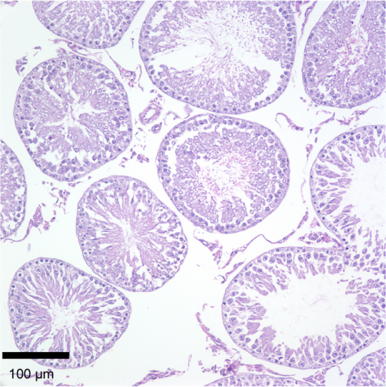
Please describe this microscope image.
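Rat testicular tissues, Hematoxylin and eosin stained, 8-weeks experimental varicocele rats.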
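Cross-sections of seminiferous tubules of the testis are seen, stained purple and pink. Pale pink fibrous material radiates into some lumens. The interstitial spaces between tubules are wide and hold loose, wispy tissue.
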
